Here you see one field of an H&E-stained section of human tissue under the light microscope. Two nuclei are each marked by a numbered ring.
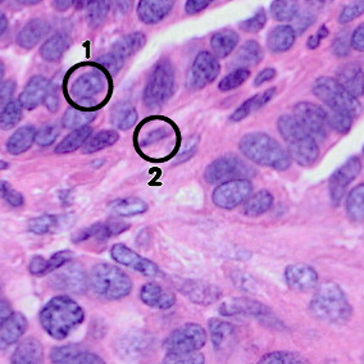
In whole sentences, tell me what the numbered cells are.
Cell 1 is a carcinoma cell and cell 2 is a fibroblast.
